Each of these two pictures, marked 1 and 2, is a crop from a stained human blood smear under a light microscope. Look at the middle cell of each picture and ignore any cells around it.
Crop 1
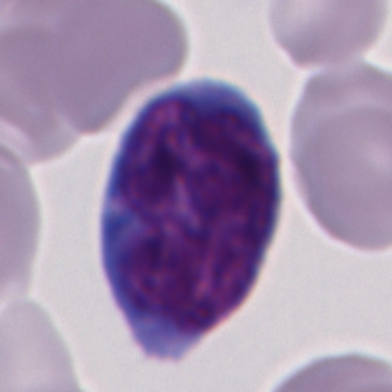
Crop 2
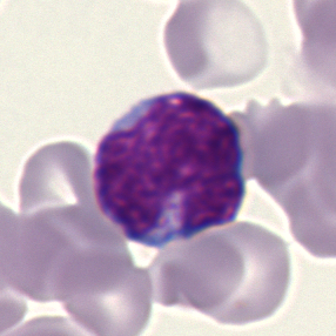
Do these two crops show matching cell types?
yes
